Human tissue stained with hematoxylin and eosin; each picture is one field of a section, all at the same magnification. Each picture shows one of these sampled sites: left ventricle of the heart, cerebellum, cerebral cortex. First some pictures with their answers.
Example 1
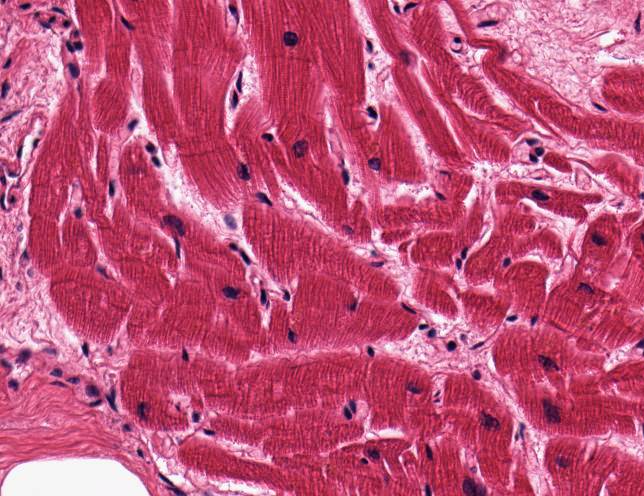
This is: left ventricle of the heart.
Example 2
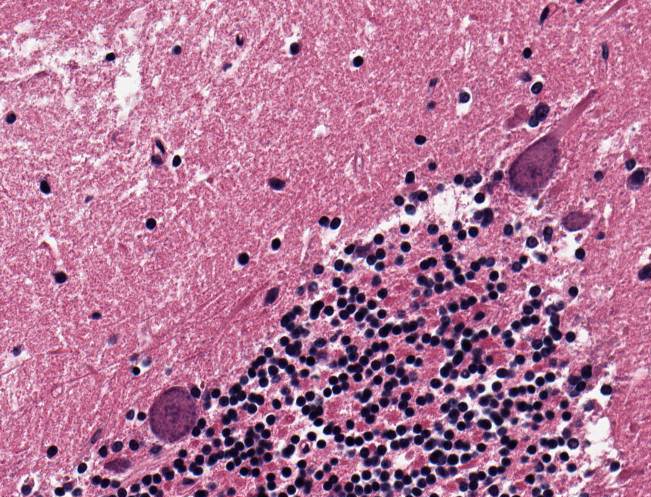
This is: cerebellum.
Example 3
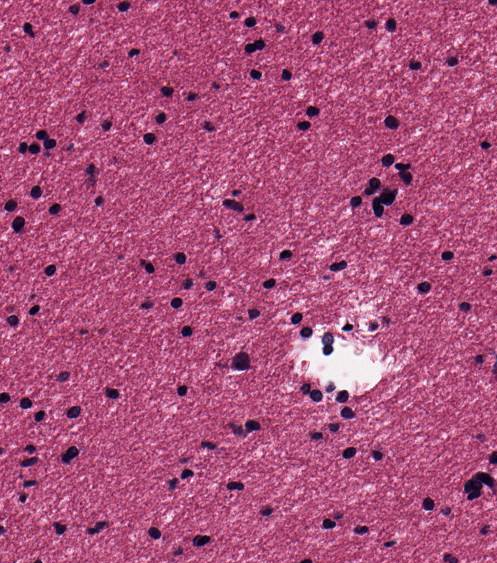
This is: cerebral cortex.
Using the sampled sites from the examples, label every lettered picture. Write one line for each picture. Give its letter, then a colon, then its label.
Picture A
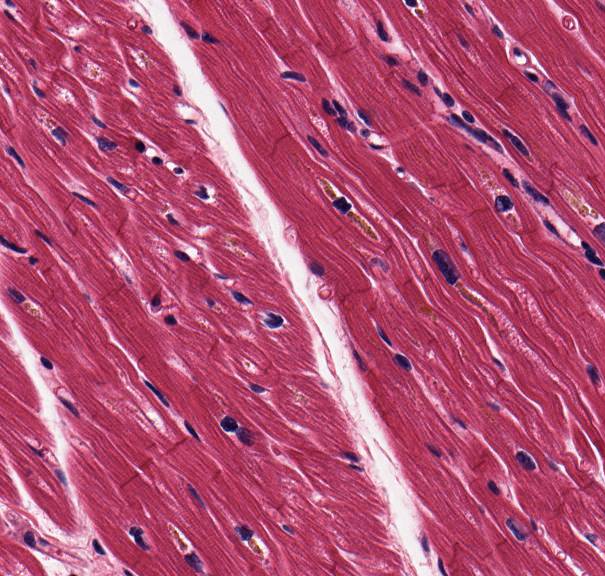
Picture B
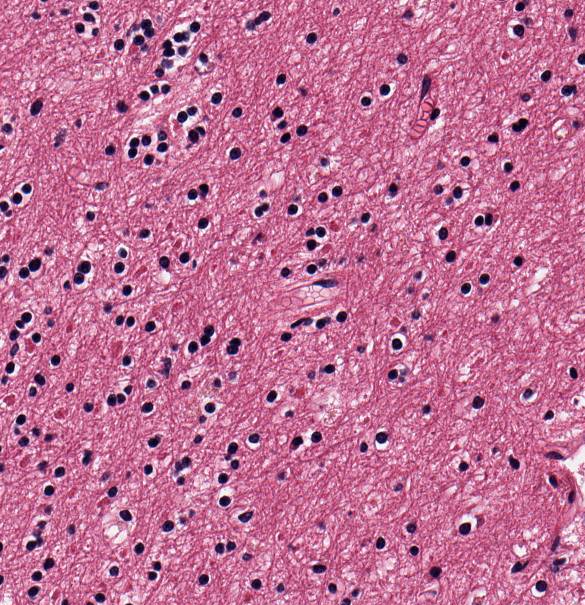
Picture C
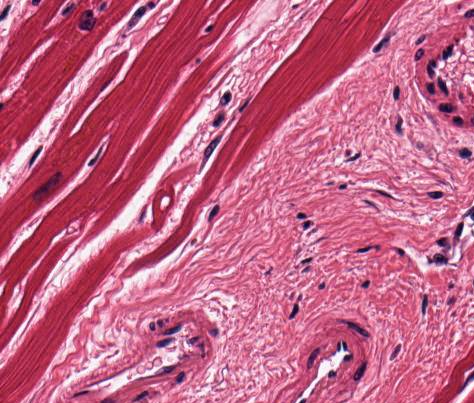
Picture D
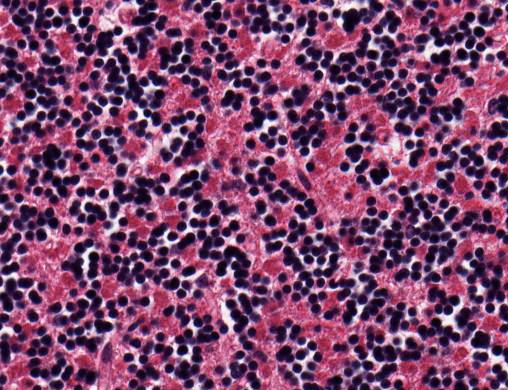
A: left ventricle of the heart.
B: cerebellum.
C: left ventricle of the heart.
D: cerebellum.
